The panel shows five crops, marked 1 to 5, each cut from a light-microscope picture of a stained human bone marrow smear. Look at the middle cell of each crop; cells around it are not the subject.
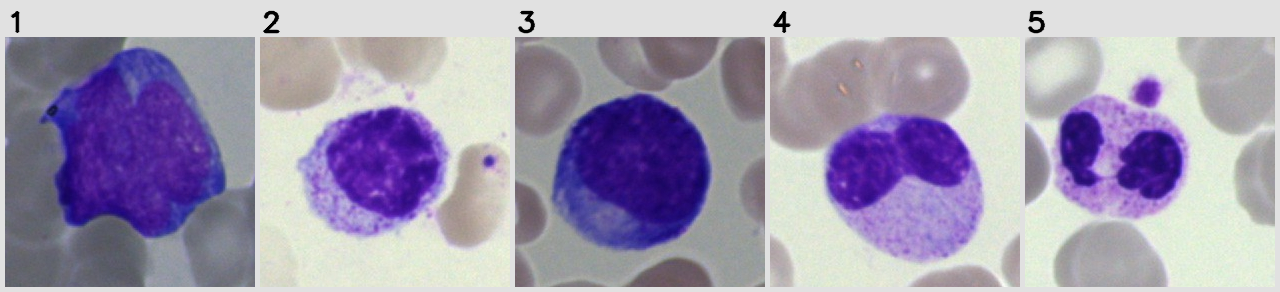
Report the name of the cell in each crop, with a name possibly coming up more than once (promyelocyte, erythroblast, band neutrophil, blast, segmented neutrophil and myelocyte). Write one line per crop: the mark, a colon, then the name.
1: blast
2: myelocyte
3: promyelocyte
4: band neutrophil
5: segmented neutrophil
